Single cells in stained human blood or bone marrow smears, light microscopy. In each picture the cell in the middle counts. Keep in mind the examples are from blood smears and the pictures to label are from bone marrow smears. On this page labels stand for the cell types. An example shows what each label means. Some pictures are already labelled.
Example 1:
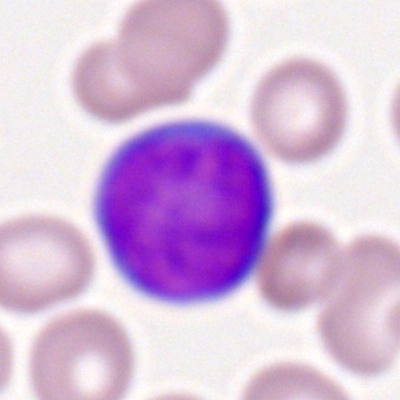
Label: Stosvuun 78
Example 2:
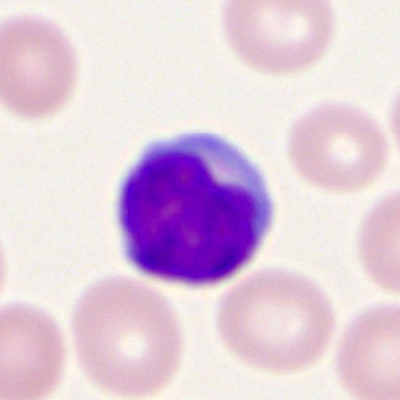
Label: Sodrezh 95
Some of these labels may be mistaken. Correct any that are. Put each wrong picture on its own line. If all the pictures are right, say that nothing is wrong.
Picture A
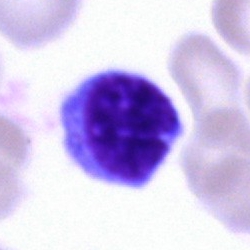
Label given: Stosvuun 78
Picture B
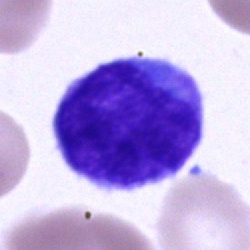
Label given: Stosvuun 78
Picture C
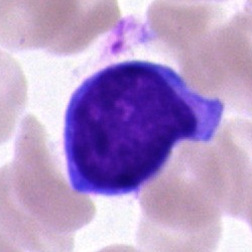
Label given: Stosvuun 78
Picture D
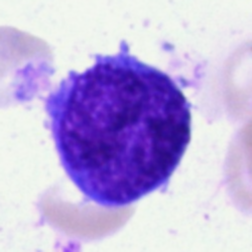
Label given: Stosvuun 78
A: change Stosvuun 78 to Sodrezh 95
